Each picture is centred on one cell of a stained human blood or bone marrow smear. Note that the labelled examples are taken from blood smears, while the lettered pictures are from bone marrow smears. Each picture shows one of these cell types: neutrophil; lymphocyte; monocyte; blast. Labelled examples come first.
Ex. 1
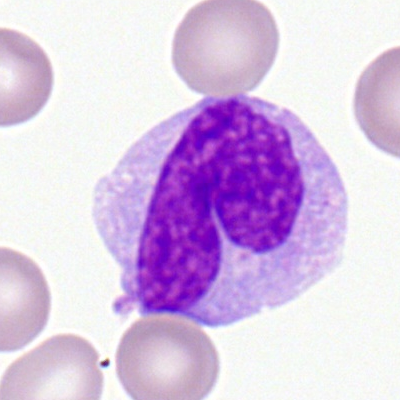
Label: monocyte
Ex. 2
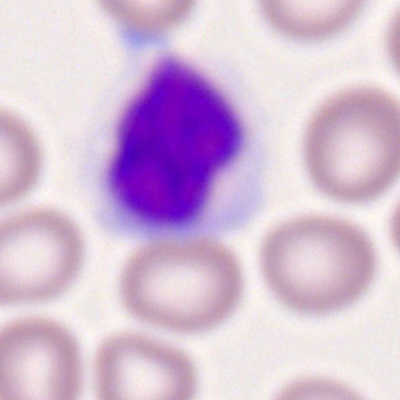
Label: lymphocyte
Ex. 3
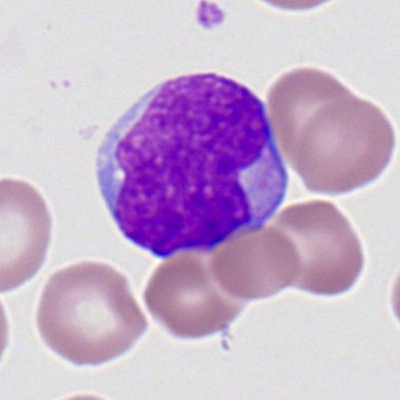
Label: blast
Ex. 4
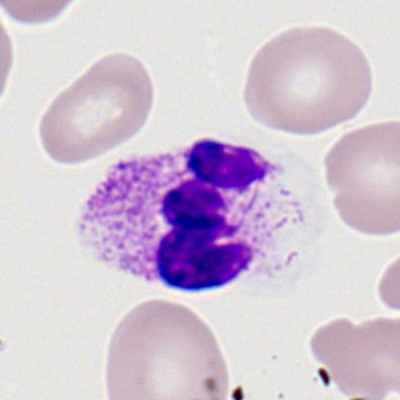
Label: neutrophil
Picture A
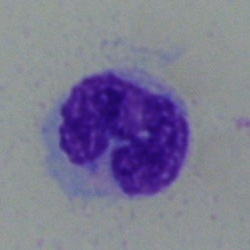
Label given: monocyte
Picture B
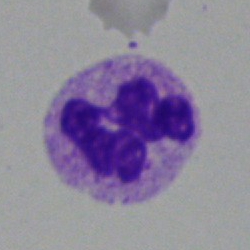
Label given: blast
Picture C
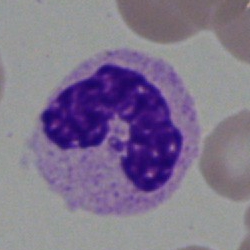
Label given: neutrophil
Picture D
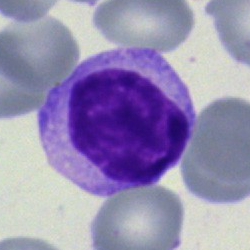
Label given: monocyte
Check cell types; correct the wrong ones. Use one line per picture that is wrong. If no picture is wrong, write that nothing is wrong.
B: not blast but neutrophil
